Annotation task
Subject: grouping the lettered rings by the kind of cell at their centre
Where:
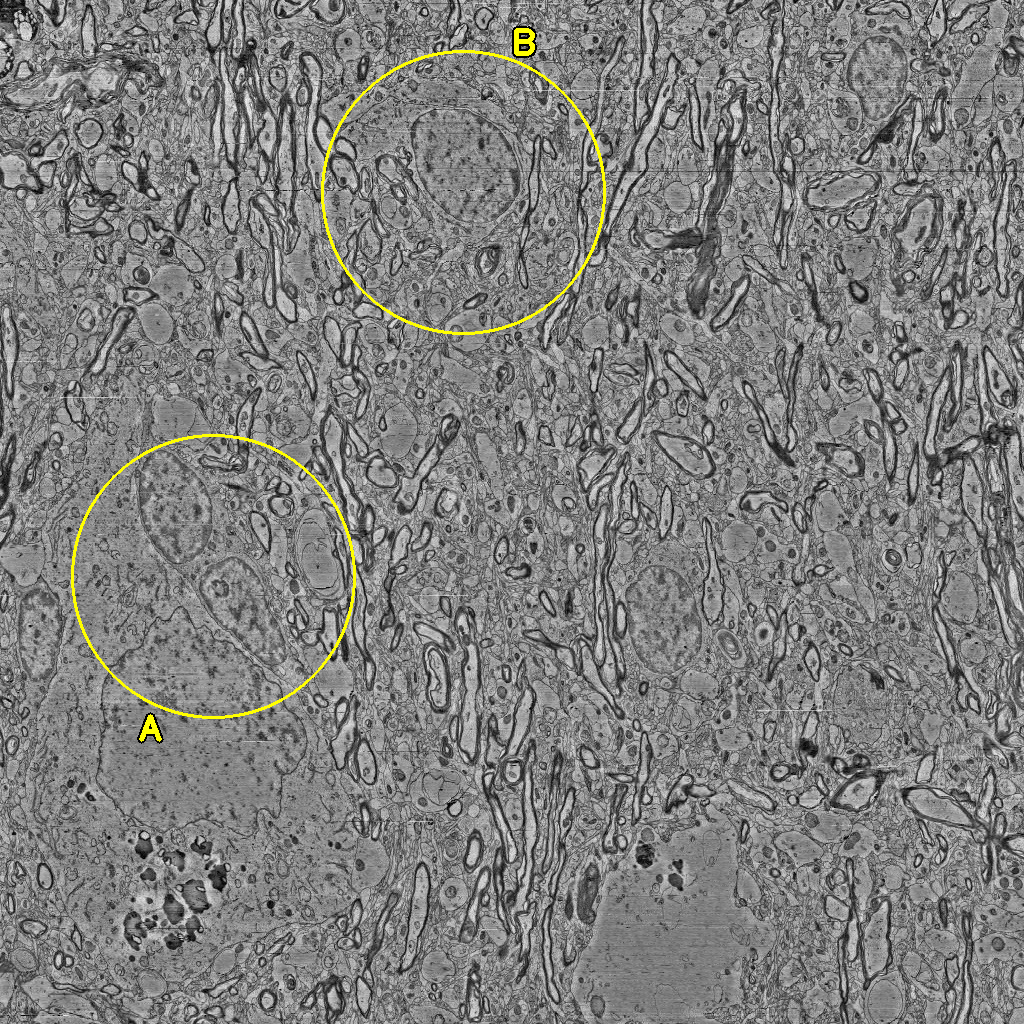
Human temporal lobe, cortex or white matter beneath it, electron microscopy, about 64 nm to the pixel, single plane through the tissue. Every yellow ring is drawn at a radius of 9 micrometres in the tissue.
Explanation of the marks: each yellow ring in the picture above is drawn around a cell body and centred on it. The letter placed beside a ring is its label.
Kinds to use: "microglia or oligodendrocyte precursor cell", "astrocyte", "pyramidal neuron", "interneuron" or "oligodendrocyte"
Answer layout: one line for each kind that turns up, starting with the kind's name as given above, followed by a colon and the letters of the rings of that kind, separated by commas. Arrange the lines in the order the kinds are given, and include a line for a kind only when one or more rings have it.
microglia or oligodendrocyte precursor cell: B
oligodendrocyte: A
